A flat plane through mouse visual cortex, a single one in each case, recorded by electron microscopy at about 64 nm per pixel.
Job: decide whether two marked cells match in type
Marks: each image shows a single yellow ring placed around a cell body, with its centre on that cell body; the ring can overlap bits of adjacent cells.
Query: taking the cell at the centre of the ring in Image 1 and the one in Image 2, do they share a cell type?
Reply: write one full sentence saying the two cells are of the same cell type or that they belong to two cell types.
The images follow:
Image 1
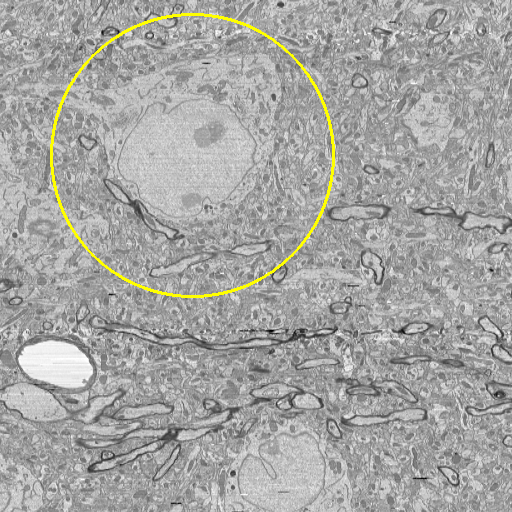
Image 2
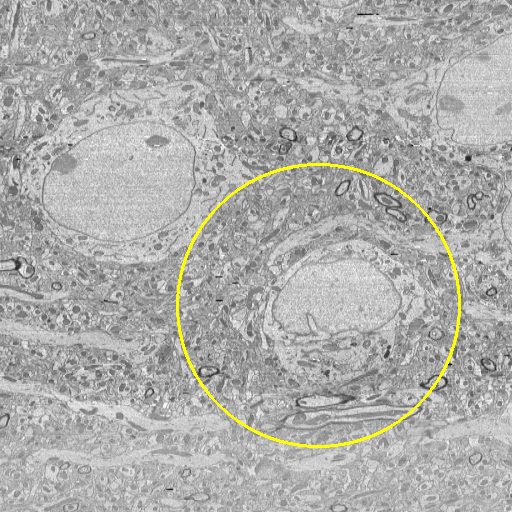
The cells at the ring centres in Image 1 and Image 2 belong to two cell types.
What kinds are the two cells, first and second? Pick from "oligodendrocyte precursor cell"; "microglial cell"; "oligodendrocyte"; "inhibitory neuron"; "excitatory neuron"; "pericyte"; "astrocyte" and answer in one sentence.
The second picture holds an inhibitory neuron in its ring, and the first holds an excitatory neuron.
